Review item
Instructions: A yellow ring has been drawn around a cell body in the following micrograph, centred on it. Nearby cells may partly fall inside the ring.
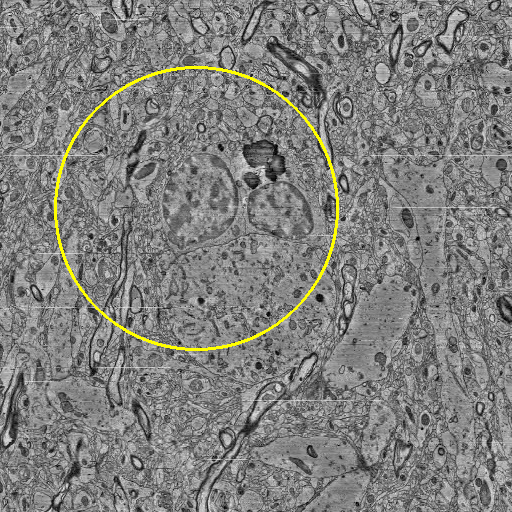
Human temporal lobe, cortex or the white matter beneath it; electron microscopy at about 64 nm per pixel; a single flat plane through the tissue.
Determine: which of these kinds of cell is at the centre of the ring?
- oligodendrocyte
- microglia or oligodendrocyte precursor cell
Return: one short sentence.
The cell body in the middle of the ring is that of an oligodendrocyte.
